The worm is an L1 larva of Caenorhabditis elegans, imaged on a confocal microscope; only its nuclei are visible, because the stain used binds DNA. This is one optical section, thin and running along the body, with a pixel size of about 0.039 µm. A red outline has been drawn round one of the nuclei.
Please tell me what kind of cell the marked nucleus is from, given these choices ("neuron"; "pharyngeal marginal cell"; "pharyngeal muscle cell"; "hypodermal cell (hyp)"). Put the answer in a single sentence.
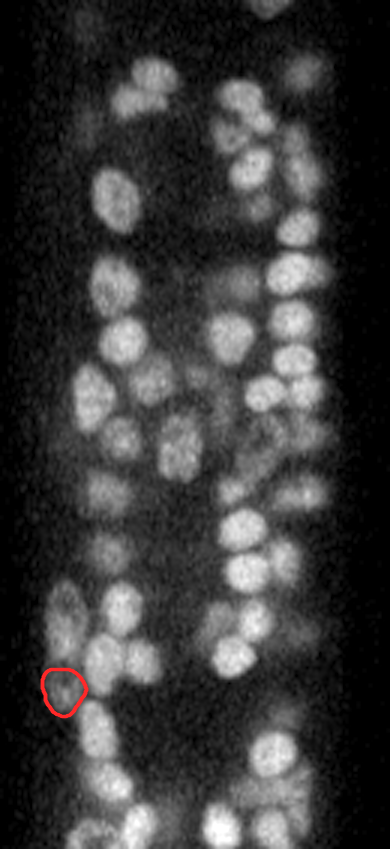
It is the nucleus of a hypodermal cell (hyp).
